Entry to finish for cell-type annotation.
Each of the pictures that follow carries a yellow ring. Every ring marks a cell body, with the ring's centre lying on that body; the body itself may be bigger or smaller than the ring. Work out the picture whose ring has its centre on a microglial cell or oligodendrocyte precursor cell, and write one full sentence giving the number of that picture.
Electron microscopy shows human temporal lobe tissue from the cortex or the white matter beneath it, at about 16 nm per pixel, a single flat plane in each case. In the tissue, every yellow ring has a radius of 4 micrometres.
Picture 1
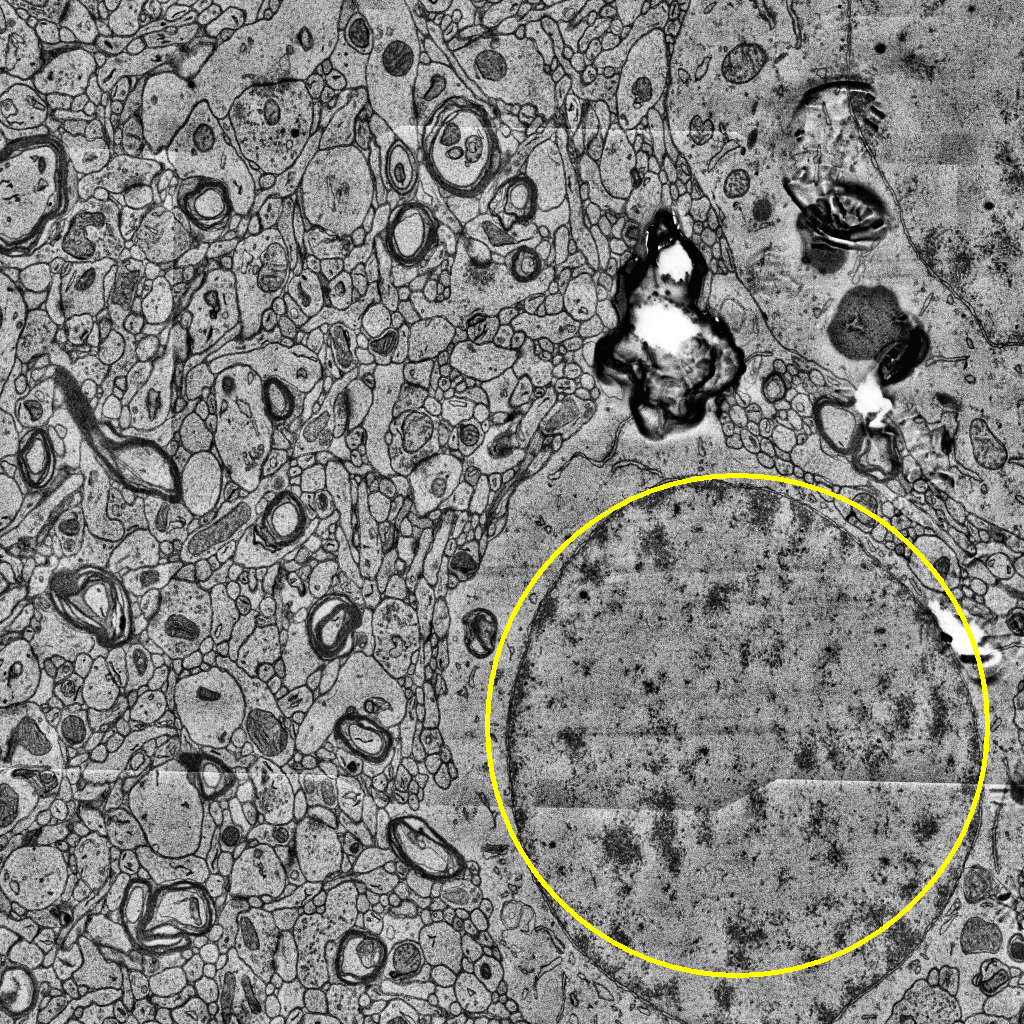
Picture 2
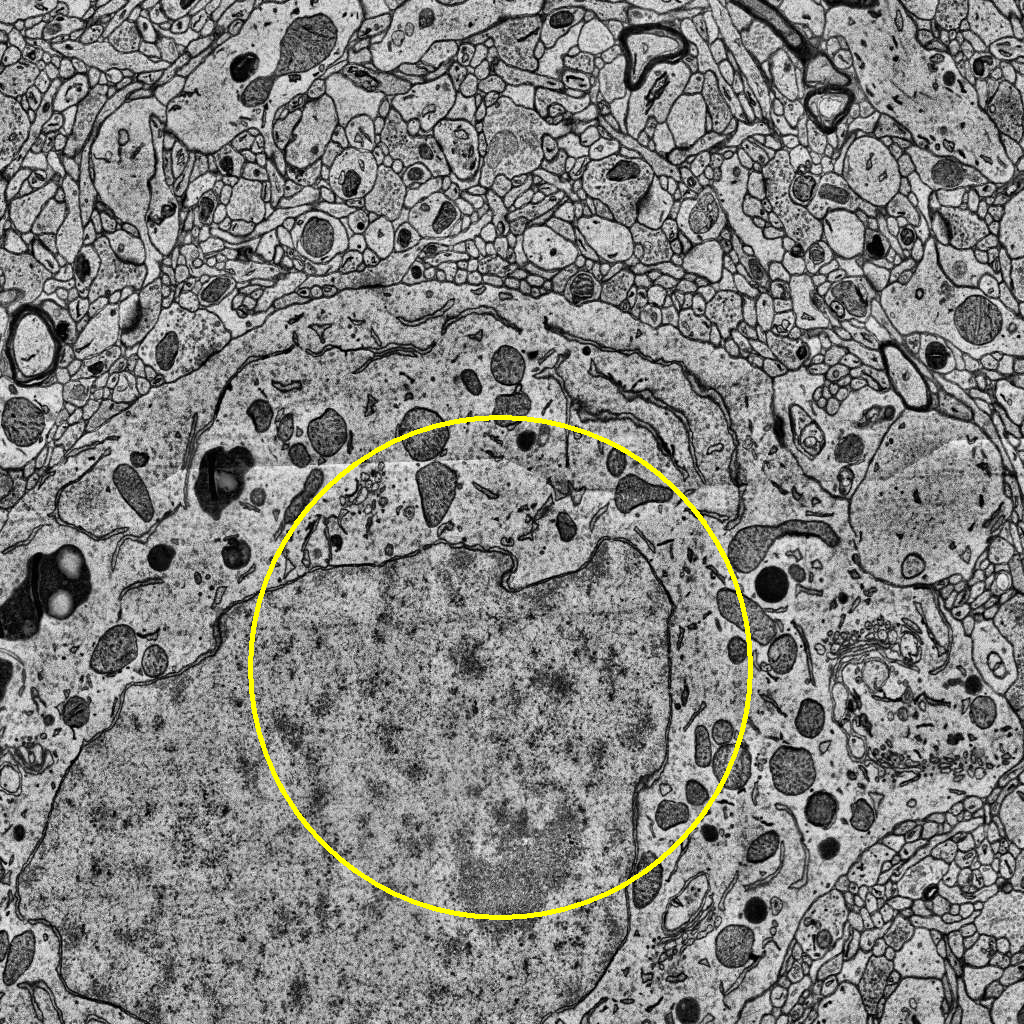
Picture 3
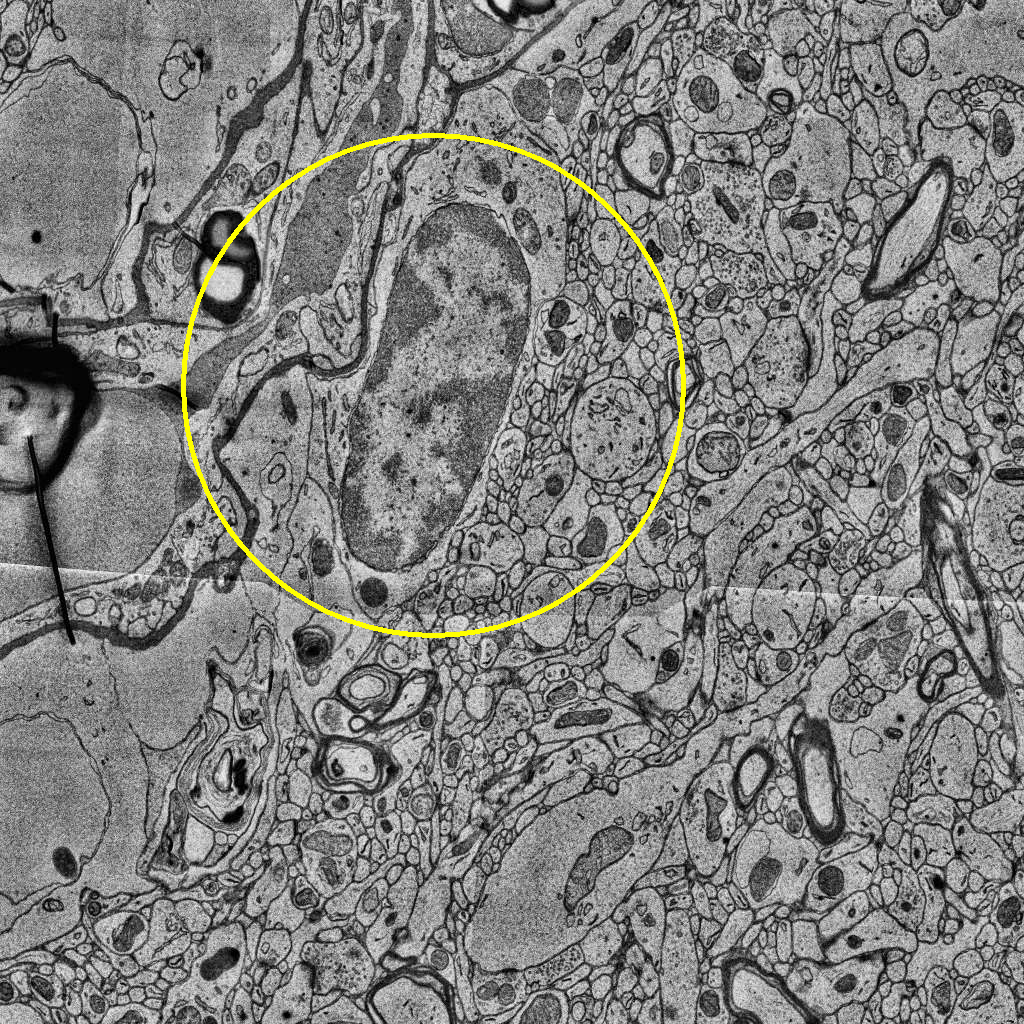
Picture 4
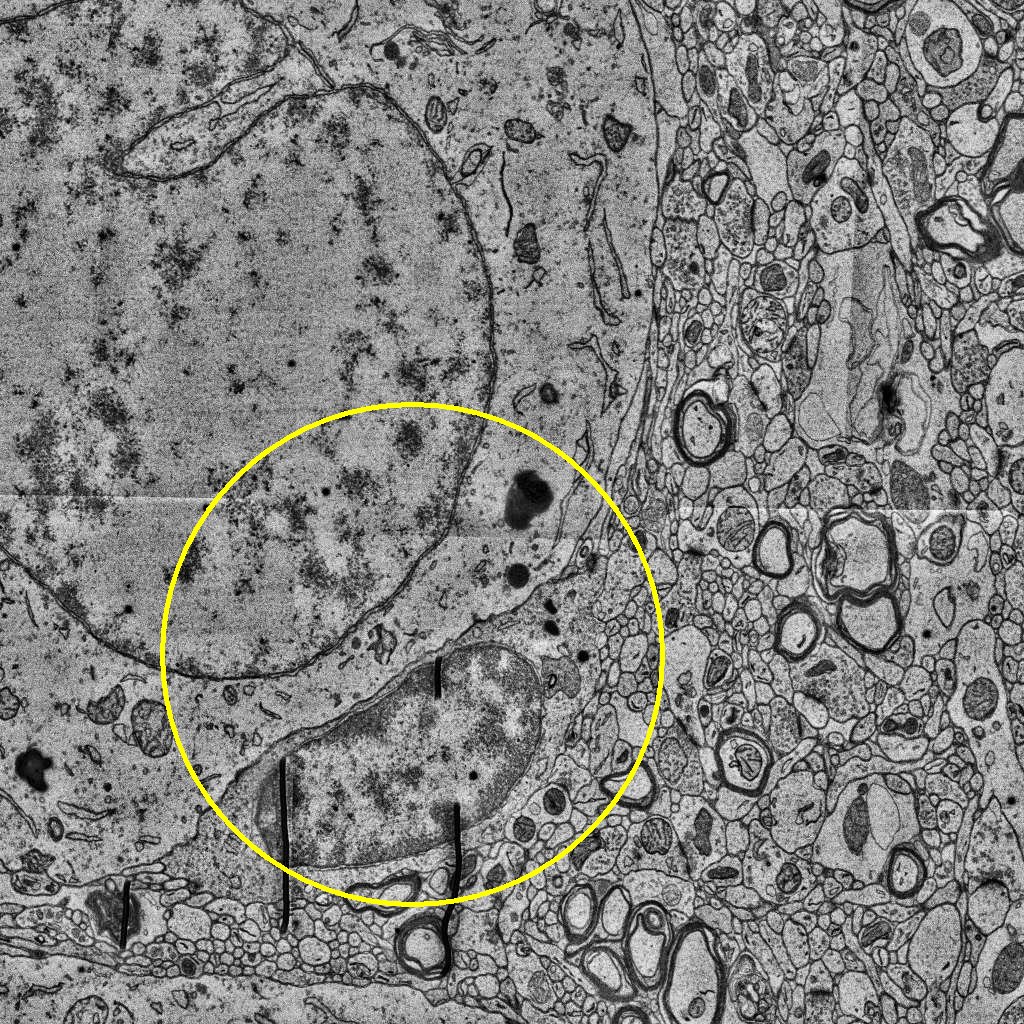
The cell lying at the ring's centre in picture 3 matches the request.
